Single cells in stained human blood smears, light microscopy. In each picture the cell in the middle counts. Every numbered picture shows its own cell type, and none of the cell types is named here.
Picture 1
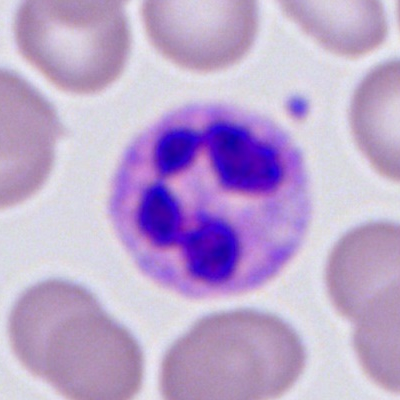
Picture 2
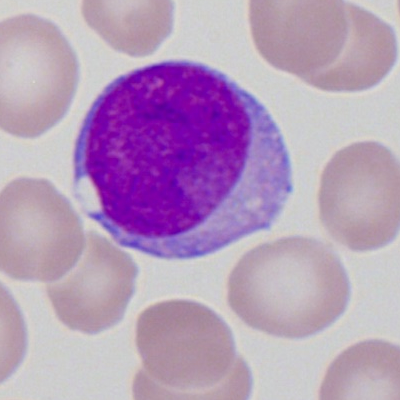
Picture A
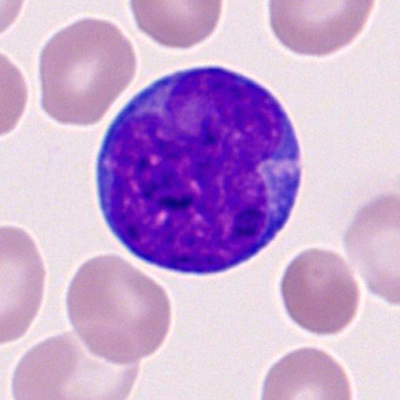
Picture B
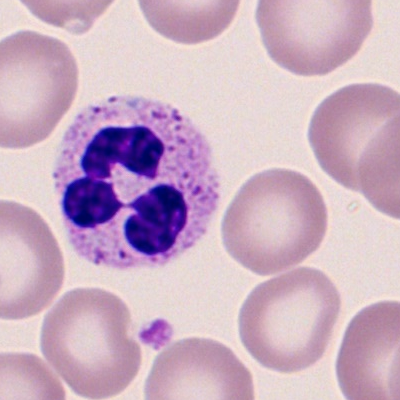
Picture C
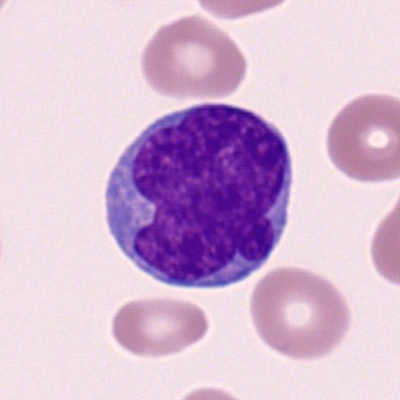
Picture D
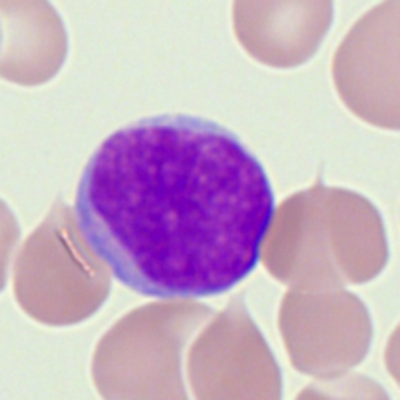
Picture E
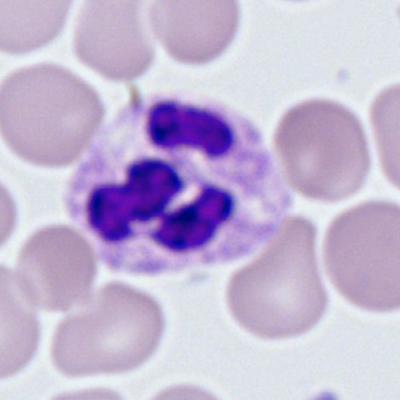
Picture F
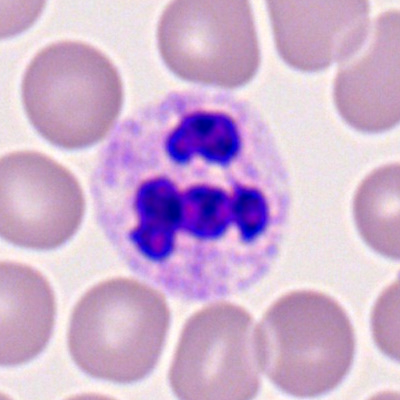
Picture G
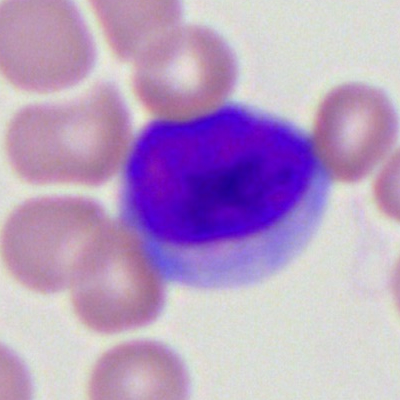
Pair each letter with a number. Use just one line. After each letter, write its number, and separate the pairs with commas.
A 2, B 1, C 2, D 2, E 1, F 1, G 2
